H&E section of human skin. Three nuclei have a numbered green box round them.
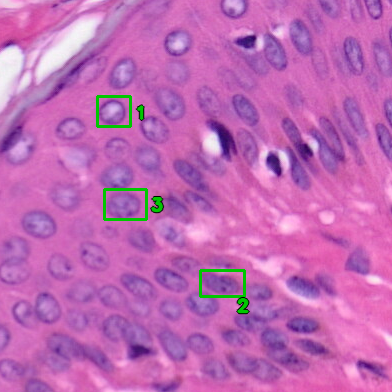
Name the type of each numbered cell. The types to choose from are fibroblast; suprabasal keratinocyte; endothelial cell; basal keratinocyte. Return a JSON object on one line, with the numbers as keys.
{"1": "suprabasal keratinocyte", "2": "basal keratinocyte", "3": "suprabasal keratinocyte"}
